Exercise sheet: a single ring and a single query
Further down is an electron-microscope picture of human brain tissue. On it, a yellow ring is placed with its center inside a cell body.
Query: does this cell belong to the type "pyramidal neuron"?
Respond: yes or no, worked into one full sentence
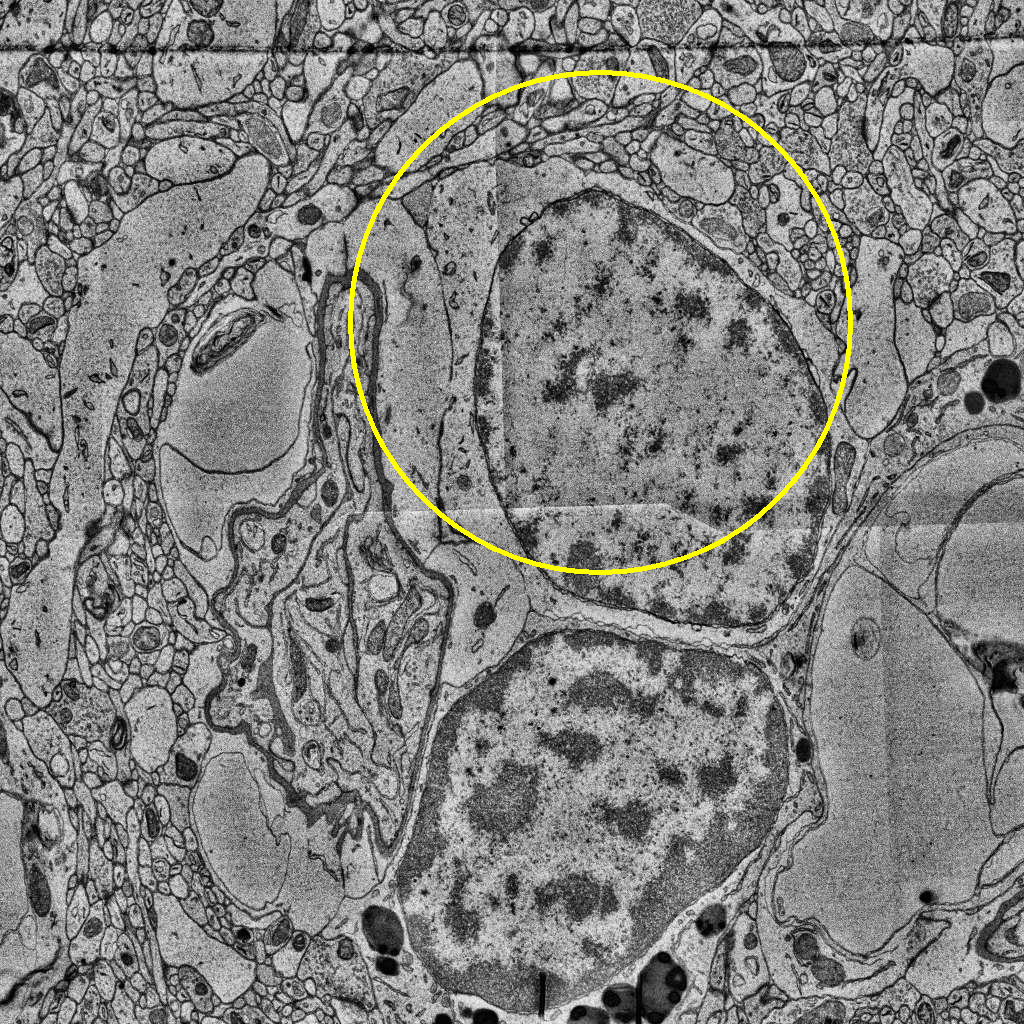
No, this cell, found at the center of the ring in the picture, is of a different type.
